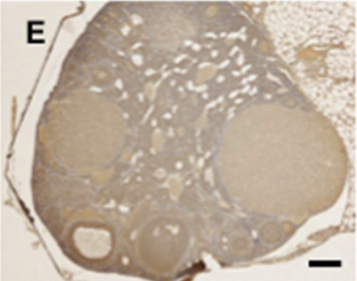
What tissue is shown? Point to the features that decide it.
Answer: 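Ovaries. Large round follicles and many smaller ones in an organ section. Thin capsule surrounds the section.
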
